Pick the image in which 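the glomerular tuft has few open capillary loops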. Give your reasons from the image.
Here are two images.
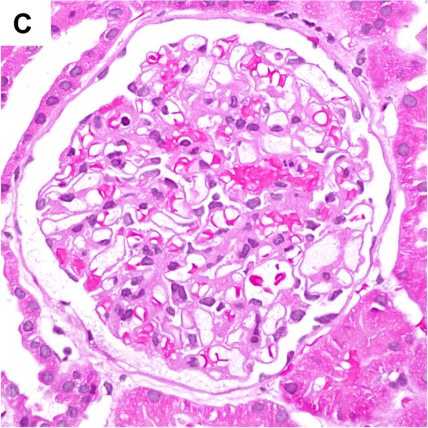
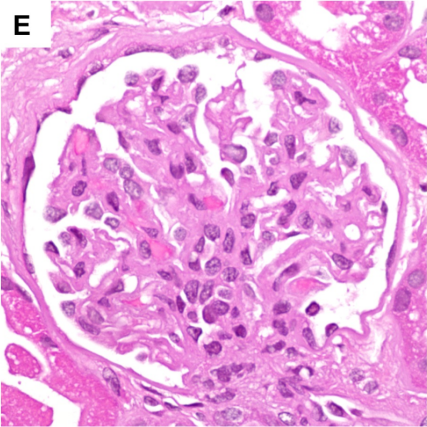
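Second image: the tuft is dense with cells and pink matrix, with few open lumens. First image: the tuft shows many open, thin-walled capillary loops, several holding red cells. That points to this answer: the second image.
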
